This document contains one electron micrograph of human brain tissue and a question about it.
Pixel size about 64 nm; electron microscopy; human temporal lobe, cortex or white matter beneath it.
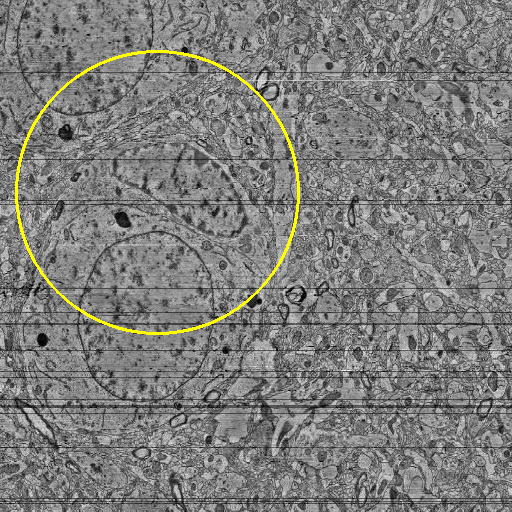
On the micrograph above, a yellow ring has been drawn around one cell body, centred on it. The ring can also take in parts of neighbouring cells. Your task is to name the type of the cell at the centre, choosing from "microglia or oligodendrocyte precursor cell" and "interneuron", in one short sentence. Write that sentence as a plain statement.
Here the ring is centred on a microglial cell or oligodendrocyte precursor cell.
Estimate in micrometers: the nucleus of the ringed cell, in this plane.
At approximately 9 by 4 micrometres, the nucleus is clearly longer than it is wide in this plane.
